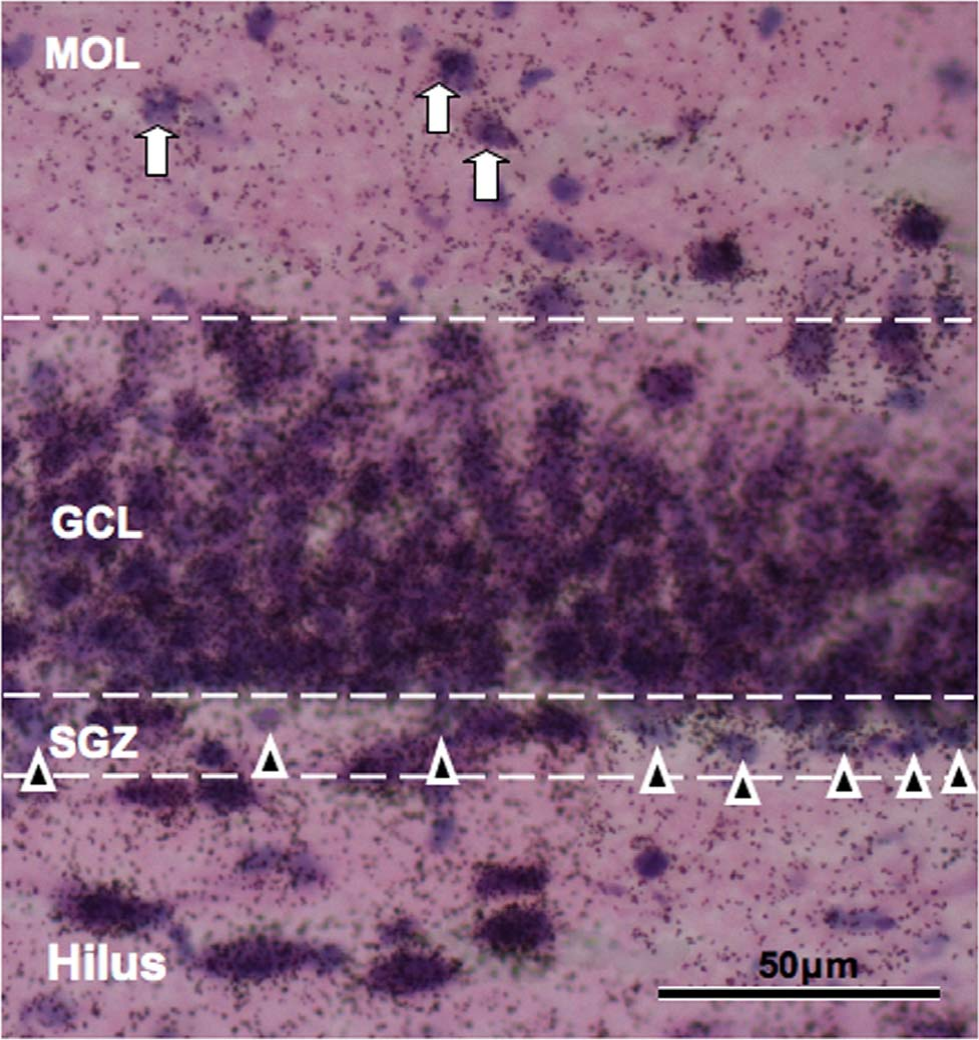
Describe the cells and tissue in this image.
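This section of the dentate gyrus shows its layered neurons. Across the middle runs a thick band of densely packed, small, round granule cell bodies, heavily covered with dark grains. Above it lies the sparsely cellular molecular layer, a pale pink field with a few scattered cell bodies, some carrying moderate clusters of grains. Along the lower edge of the granule band is a thin zone whose cells carry fewer grains. Below this, the hilus contains larger, elongated neurons lying singly or in small groups, each densely covered with dark grains. Pale, grain-sparse neuropil lies between the cells.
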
